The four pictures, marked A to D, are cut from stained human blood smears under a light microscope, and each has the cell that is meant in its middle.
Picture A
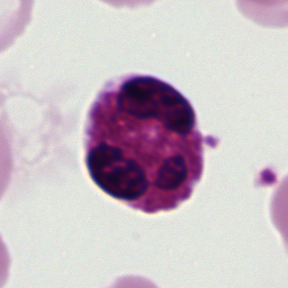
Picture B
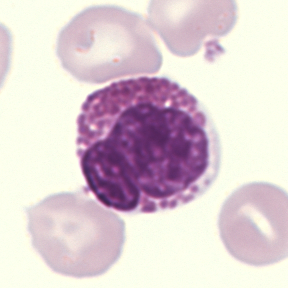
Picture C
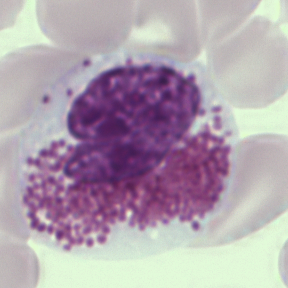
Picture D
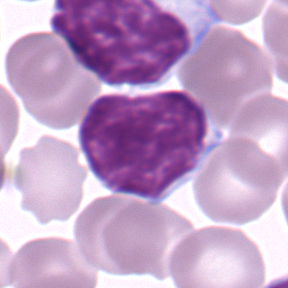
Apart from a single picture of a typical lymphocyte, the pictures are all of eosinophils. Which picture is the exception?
D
